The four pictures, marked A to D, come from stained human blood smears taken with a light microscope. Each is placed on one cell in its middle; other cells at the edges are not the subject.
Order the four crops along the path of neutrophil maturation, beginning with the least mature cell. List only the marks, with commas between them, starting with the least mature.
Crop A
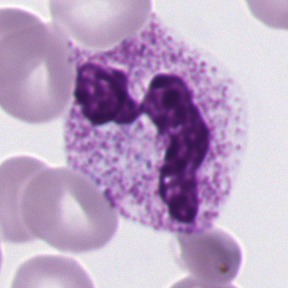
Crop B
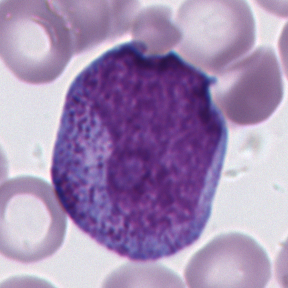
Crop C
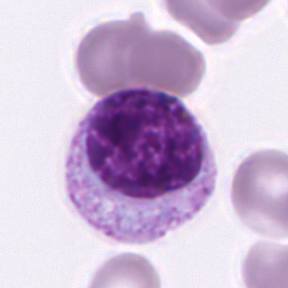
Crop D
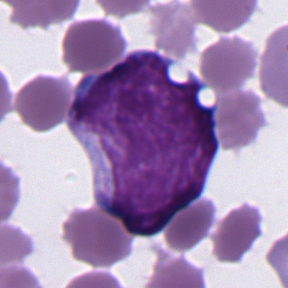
D, B, C, A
